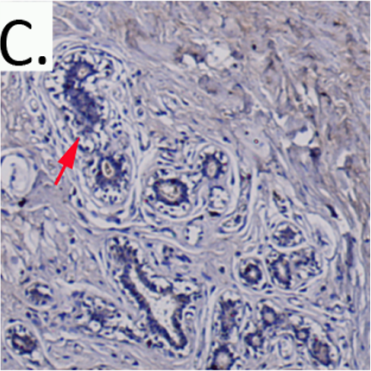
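Normal breast tissue with small ducts and acini grouped in lobule-like clusters, each lined by epithelial cells with blue nuclei around an open lumen. The glandular units lie in abundant pale, loose fibrous stroma, and the epithelium shows little brown stain.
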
